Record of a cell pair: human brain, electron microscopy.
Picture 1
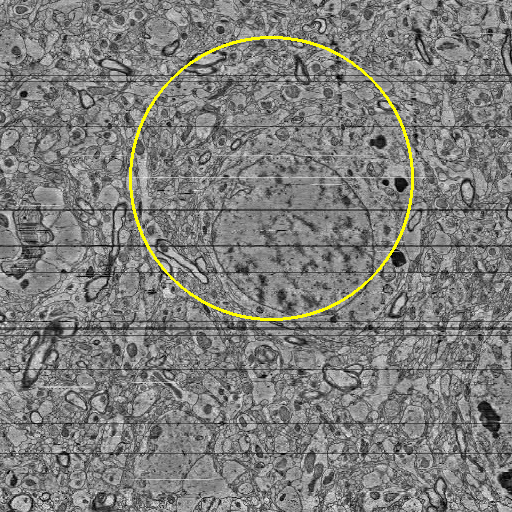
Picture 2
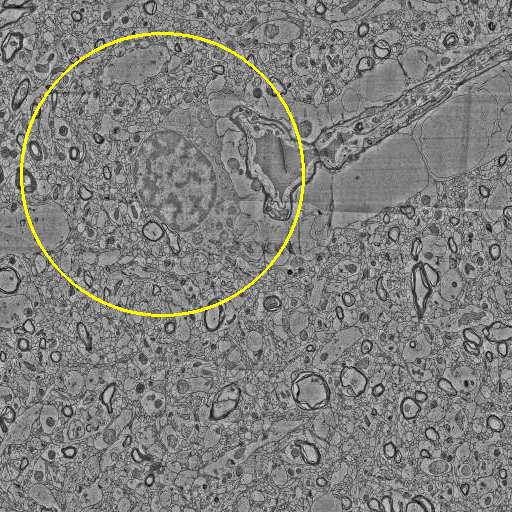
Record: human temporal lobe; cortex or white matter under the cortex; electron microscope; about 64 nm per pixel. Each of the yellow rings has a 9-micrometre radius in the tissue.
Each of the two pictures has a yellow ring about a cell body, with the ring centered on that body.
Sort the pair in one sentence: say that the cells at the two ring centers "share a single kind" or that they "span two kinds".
The cells centered in the rings of Pictures 1 and 2 span two kinds.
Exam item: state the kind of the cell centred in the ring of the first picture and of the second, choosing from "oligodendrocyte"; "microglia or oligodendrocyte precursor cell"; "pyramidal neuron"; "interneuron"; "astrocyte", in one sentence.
The first picture shows a pyramidal neuron at the ring centre and the second shows an oligodendrocyte.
